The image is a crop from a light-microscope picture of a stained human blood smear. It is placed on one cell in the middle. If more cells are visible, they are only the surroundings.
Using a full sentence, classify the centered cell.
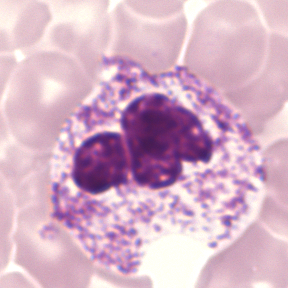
The crop's centre is taken up by a segmented neutrophil.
